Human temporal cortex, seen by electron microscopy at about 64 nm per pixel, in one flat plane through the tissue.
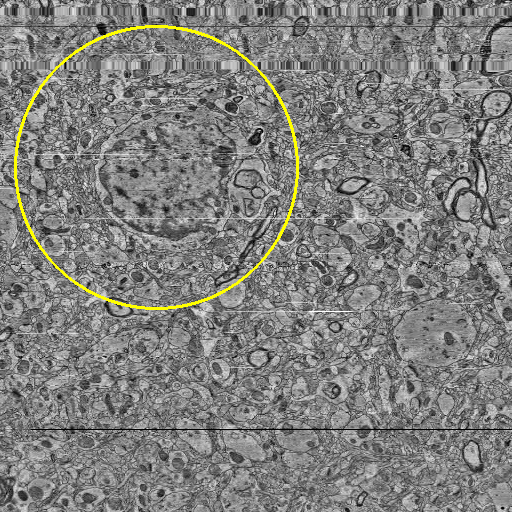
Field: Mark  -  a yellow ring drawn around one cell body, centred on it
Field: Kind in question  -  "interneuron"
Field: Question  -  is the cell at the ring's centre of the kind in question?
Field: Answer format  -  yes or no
yes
